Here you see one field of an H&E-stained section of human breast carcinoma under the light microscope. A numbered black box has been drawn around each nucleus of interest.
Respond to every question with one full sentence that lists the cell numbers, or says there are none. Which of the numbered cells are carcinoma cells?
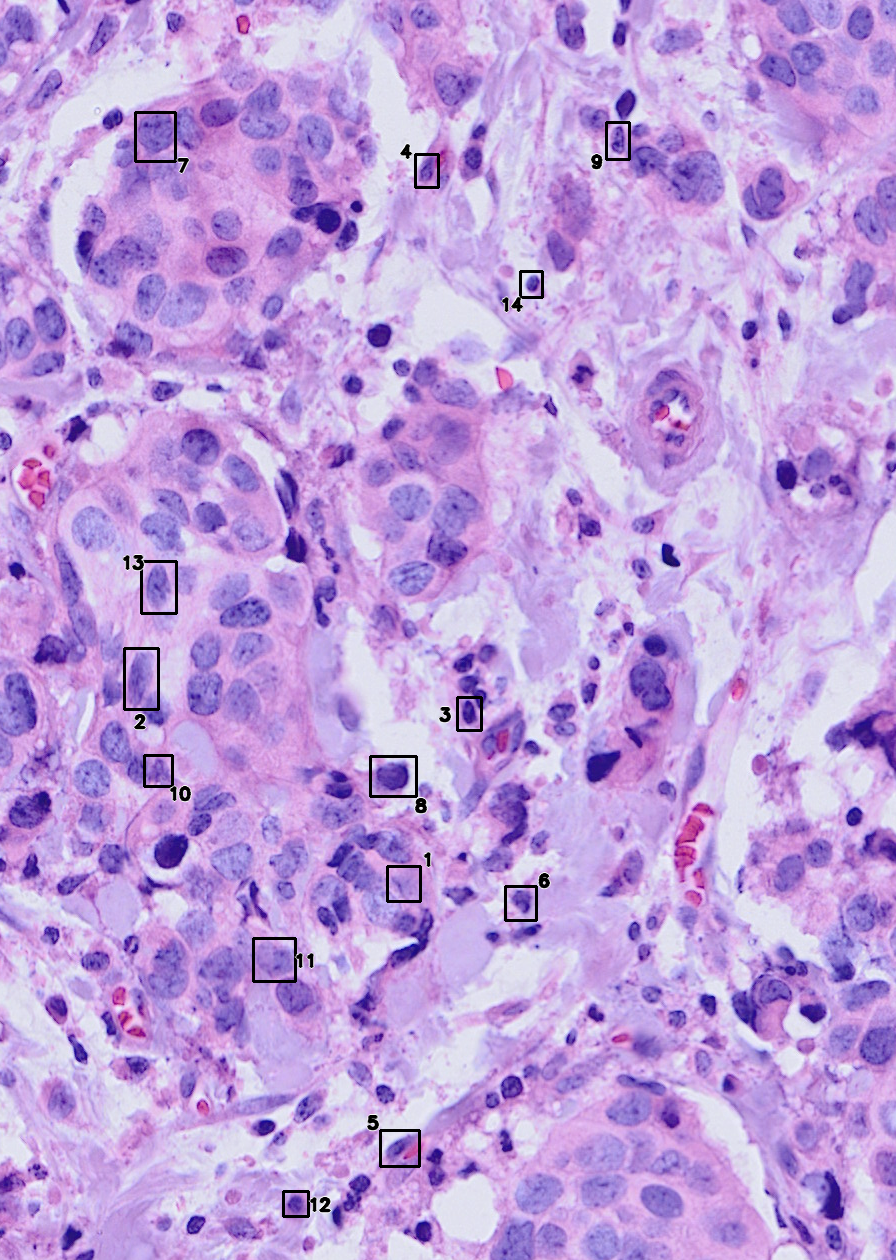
Cells 1, 2, 7, 8, 10, 11 and 13 share one type; they are carcinoma cells.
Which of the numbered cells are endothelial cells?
The cells that the numbers 4 and 5 belong to are endothelial cells.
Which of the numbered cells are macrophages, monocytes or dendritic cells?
Identified by number, the marked cells include no macrophages, monocytes or dendritic cells.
